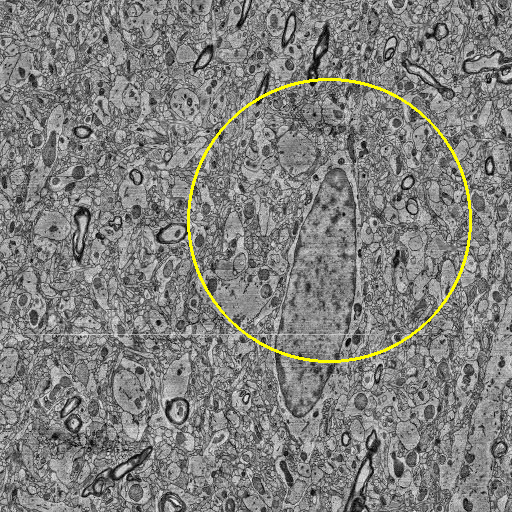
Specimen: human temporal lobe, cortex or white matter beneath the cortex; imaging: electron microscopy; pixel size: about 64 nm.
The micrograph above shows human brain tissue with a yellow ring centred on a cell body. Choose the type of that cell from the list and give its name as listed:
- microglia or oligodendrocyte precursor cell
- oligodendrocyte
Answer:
microglia or oligodendrocyte precursor cell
